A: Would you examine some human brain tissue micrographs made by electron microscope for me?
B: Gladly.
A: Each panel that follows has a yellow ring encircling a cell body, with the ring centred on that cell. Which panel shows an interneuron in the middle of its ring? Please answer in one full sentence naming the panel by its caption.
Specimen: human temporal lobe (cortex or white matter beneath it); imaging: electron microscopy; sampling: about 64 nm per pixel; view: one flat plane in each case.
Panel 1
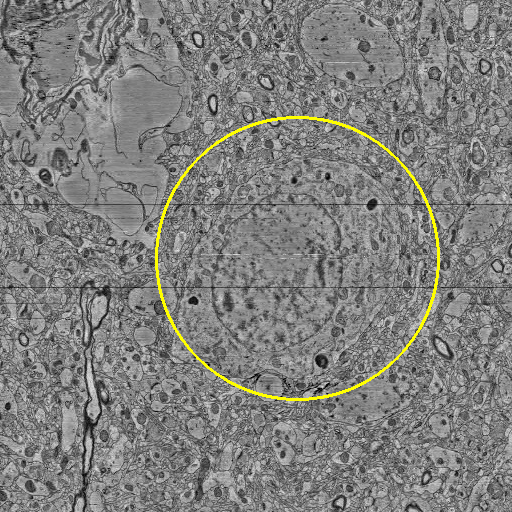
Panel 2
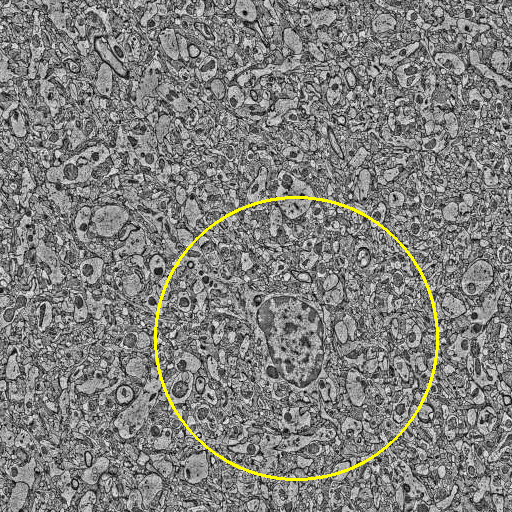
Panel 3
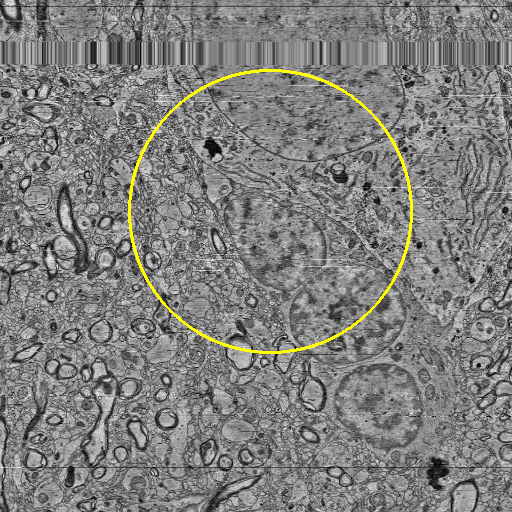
Panel 1 is where the ring sits centred on the requested cell.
